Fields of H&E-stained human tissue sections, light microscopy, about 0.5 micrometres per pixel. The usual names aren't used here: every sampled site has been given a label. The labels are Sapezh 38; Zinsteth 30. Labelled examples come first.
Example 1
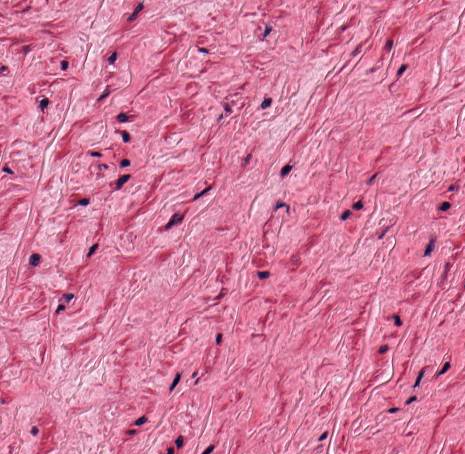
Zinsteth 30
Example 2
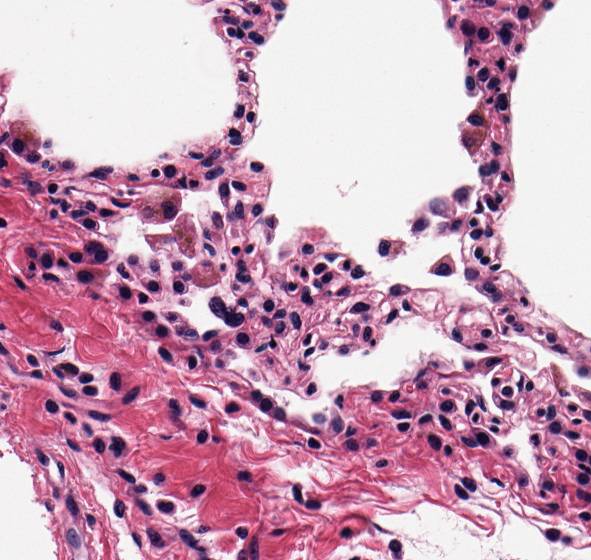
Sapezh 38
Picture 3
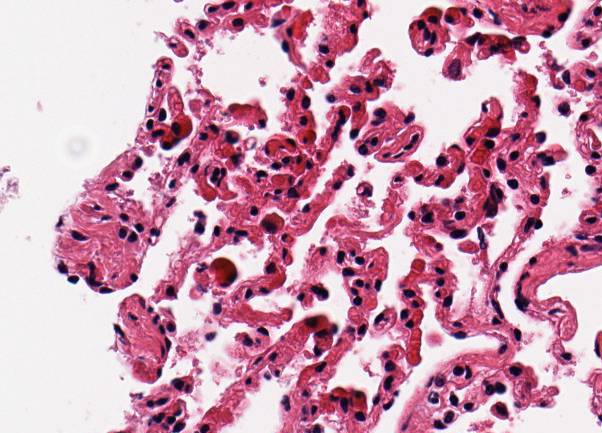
Sapezh 38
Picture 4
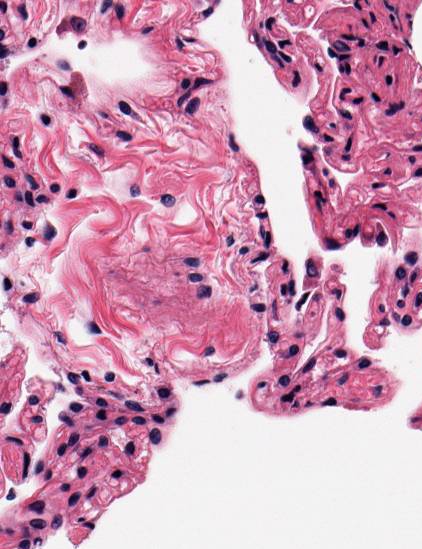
Sapezh 38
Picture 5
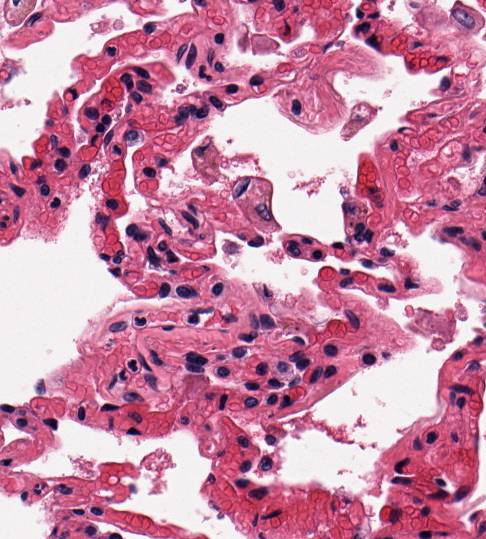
Sapezh 38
